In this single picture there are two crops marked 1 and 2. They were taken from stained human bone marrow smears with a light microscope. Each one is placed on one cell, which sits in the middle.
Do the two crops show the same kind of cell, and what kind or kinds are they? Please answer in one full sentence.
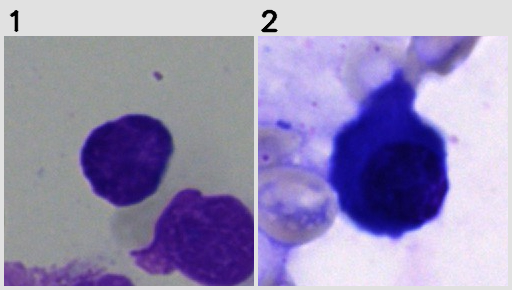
No, crop 1 shows a lymphocyte, whereas in crop 2 the cell is a plasma cell.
